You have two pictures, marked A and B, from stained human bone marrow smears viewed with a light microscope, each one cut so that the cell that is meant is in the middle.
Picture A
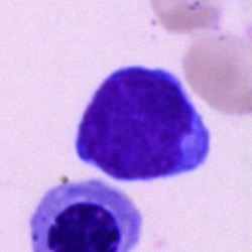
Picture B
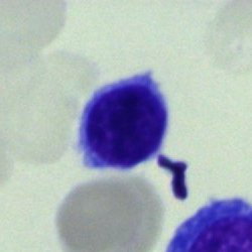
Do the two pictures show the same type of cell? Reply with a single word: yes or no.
yes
